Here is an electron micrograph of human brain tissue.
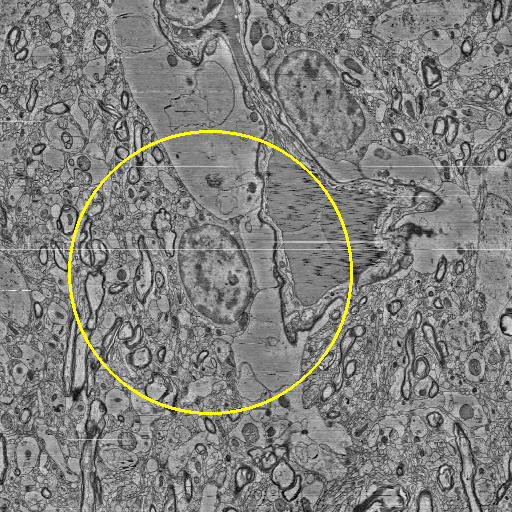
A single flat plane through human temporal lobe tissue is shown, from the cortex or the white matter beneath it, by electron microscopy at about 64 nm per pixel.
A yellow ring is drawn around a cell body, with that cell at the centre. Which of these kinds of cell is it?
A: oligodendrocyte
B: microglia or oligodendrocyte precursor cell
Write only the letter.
A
